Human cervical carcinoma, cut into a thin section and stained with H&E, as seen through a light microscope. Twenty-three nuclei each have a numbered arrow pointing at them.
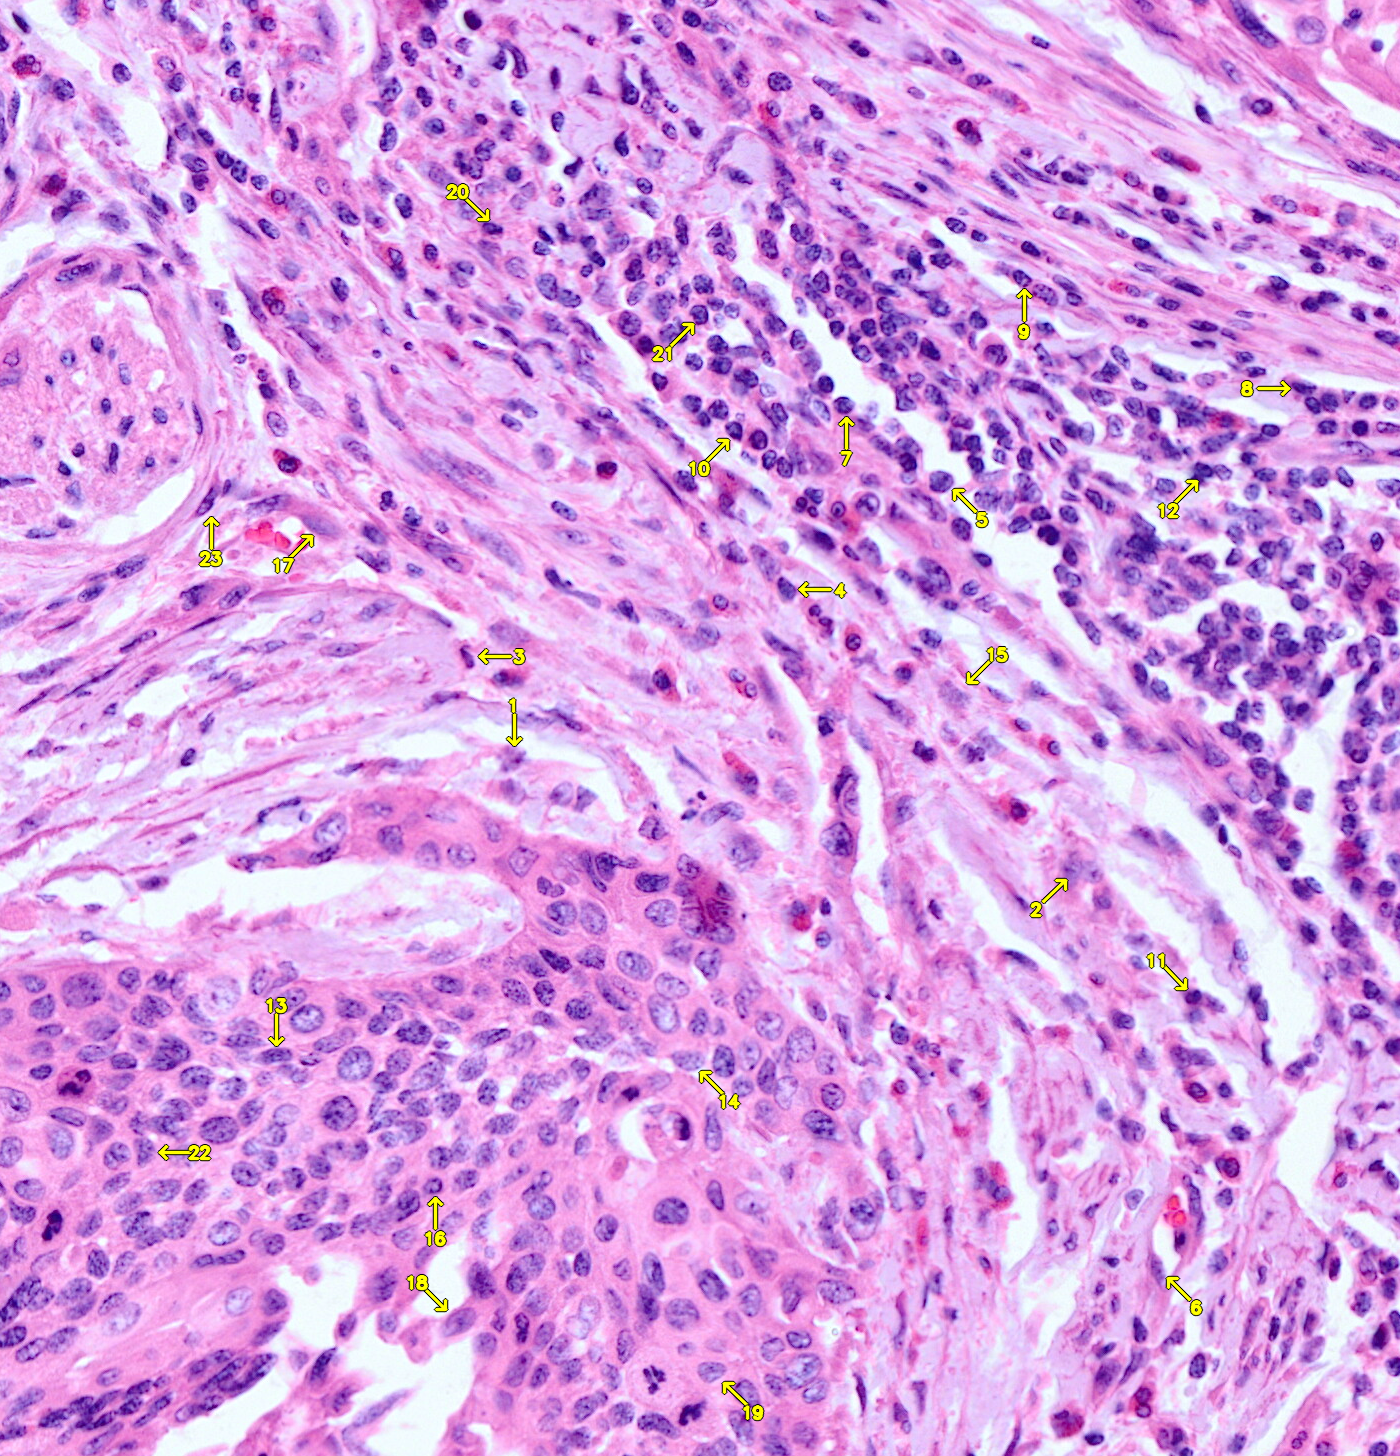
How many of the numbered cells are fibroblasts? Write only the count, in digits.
3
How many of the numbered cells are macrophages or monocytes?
1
